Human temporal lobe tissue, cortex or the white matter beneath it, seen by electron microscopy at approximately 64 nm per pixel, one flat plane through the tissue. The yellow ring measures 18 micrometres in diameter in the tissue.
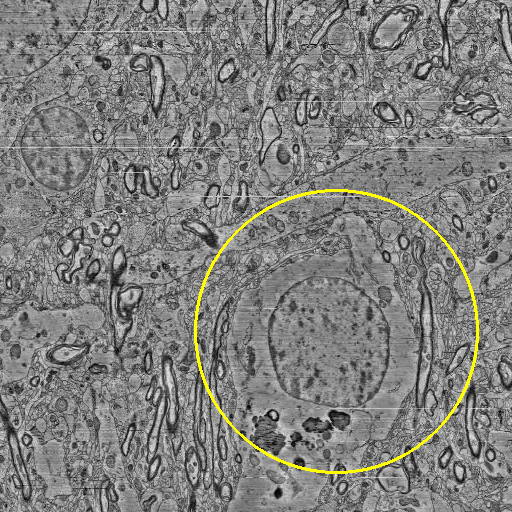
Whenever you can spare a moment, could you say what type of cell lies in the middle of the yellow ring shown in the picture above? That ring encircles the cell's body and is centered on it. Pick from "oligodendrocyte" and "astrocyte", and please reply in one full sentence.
The cell whose body sits at the middle of the yellow ring is an astrocyte.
